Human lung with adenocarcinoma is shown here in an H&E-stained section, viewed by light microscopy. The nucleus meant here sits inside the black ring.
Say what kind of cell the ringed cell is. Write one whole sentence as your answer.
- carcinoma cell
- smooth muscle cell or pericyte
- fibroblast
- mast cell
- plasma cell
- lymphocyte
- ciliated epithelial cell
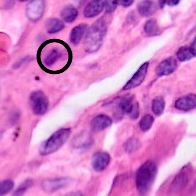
In this field of tissue, the ringed cell is a plasma cell.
